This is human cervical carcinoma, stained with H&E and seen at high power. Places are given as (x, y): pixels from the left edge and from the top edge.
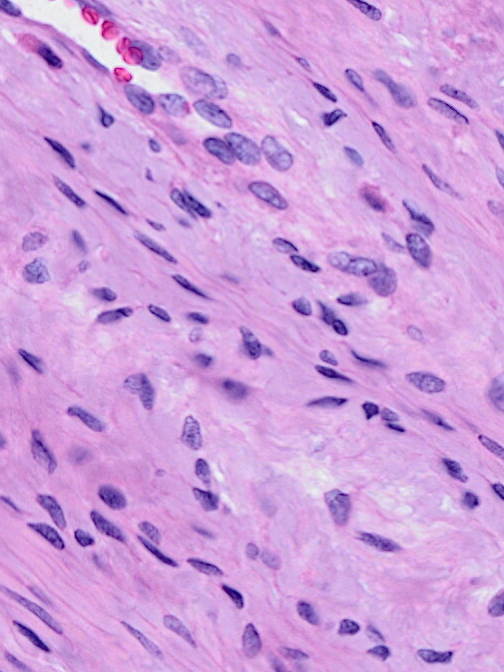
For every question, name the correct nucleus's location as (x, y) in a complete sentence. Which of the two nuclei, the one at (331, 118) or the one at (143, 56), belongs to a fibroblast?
Answering which nucleus it is: the one at (331, 118), belonging to a fibroblast.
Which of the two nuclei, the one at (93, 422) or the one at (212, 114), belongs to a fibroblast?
The nucleus at (93, 422) is housed in a fibroblast.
